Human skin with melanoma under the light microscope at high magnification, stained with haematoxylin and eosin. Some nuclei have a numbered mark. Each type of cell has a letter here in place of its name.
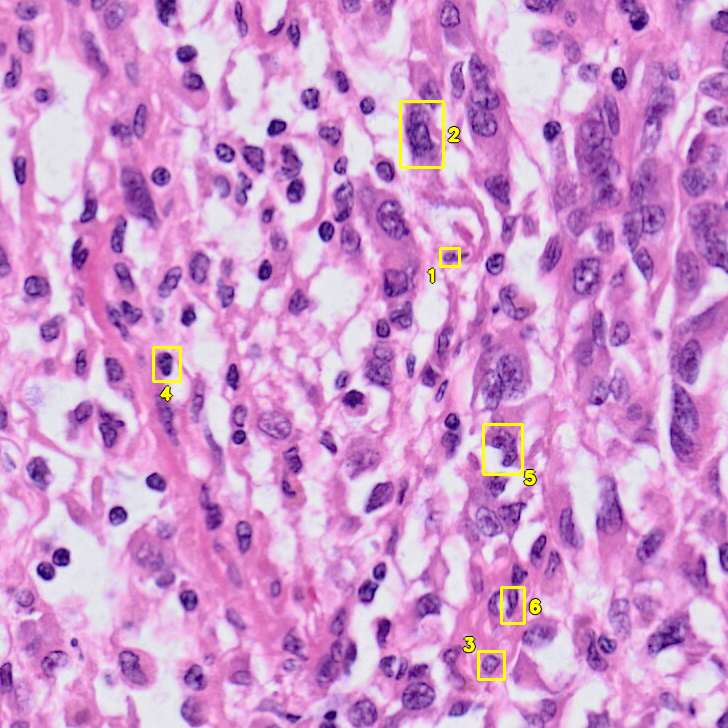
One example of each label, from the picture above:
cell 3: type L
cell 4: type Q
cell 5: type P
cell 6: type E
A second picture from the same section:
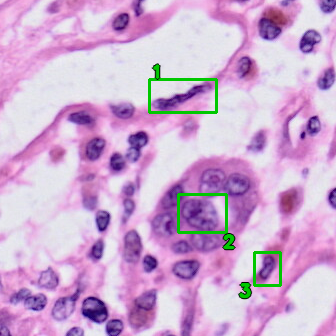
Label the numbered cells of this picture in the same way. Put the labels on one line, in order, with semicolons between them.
type E; type P; type L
